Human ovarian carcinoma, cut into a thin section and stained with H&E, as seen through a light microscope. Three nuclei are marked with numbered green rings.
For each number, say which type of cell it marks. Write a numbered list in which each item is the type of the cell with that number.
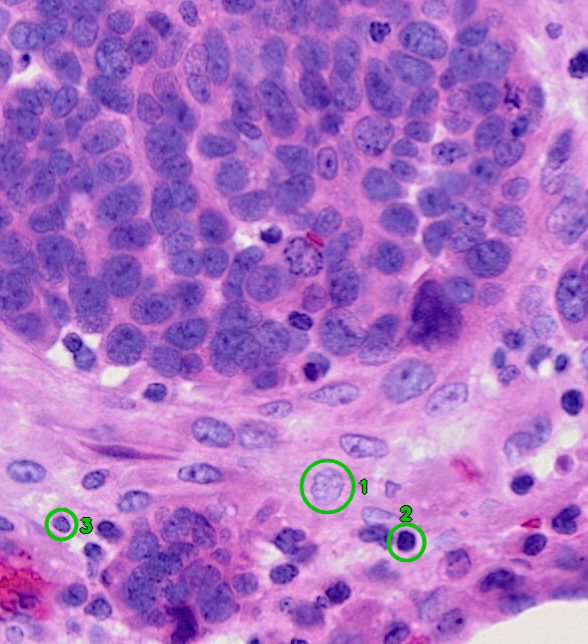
1. fibroblast
2. lymphocyte
3. lymphocyte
